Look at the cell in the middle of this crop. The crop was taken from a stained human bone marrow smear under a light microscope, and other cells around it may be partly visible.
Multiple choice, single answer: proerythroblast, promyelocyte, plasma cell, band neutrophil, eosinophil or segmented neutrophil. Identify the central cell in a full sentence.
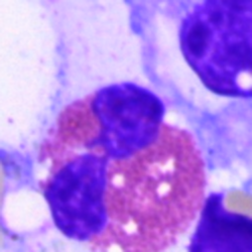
Within this crop, an eosinophil occupies the central position.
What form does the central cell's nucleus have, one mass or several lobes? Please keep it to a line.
Its nucleus is lobed, with at least two separate segments.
